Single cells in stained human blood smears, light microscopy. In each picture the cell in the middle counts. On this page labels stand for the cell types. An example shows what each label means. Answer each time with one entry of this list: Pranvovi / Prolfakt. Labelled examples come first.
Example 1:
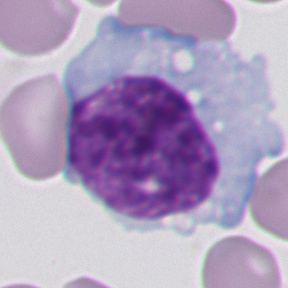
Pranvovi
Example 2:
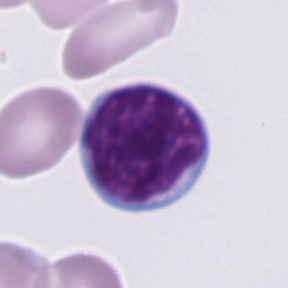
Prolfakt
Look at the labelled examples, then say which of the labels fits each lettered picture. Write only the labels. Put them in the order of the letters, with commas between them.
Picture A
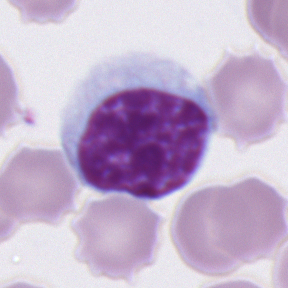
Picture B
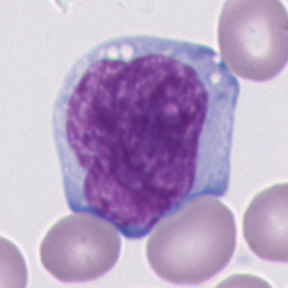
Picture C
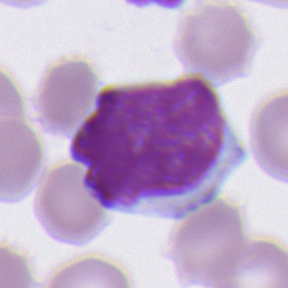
Prolfakt, Pranvovi, Prolfakt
